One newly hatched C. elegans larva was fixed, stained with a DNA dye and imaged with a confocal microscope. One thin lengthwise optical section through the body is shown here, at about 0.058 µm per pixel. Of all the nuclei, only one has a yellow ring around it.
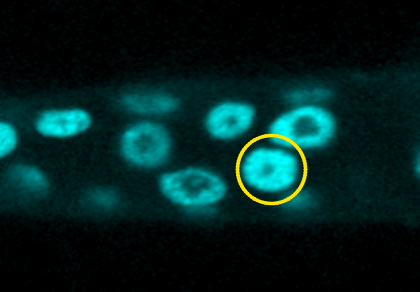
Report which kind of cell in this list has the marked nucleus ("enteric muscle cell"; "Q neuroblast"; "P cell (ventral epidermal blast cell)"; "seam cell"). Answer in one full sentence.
The nucleus comes from a Q neuroblast.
